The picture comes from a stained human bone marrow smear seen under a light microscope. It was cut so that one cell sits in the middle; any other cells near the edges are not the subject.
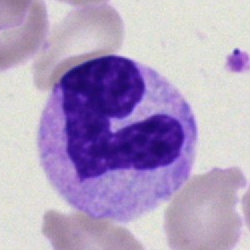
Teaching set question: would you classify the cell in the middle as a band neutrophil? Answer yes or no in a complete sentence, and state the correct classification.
Yes, the central cell is to be recorded as a band neutrophil.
